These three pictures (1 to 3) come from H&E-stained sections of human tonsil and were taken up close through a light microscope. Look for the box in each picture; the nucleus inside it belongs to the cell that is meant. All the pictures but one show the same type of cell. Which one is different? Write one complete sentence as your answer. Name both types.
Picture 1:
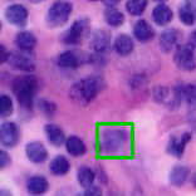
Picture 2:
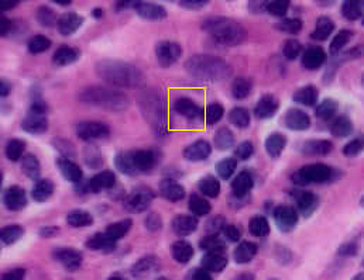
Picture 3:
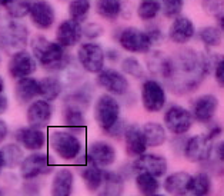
All pictures except 3 show endothelial cells; picture 3 shows a small lymphocyte.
